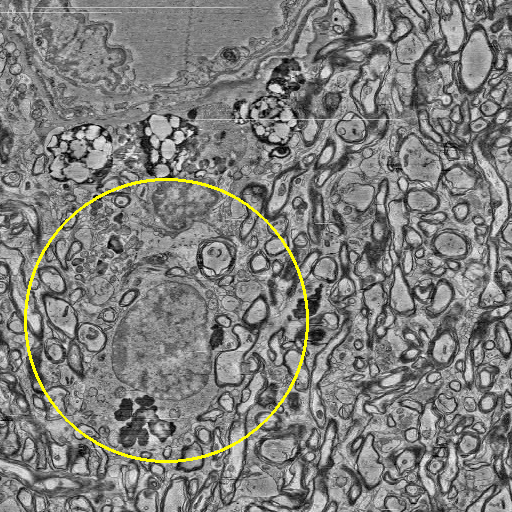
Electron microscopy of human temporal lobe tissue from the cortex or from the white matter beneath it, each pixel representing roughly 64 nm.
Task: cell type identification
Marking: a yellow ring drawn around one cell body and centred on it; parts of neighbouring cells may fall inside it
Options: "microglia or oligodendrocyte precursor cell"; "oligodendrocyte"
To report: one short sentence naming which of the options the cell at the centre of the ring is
The cell at the centre of the ring is an oligodendrocyte.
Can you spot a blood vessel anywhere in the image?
Yes, one appears.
